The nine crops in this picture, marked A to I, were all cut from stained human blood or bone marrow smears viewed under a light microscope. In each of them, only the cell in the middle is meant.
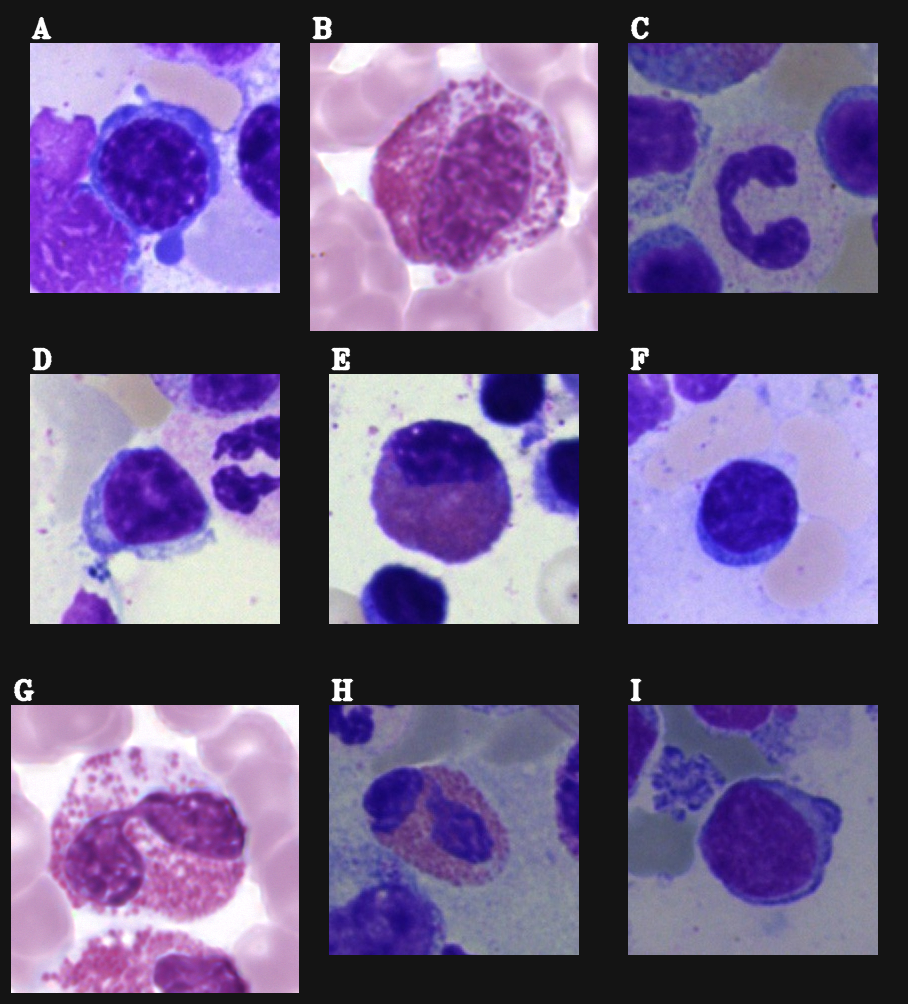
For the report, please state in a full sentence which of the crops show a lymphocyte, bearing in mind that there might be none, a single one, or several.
Crops D, F and I present lymphocytes as their central cells.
